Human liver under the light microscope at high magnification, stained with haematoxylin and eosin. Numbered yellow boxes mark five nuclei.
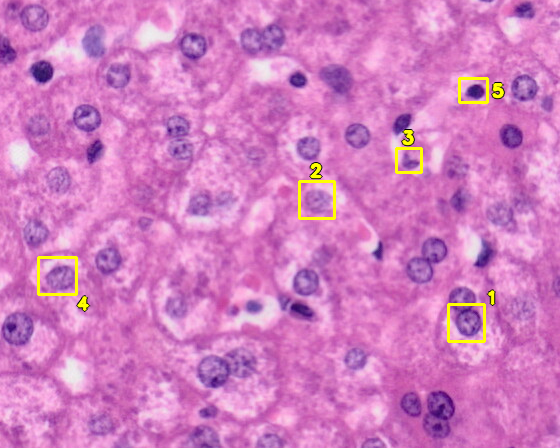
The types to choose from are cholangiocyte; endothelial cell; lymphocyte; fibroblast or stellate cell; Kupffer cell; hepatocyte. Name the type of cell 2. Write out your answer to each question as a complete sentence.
The cell numbered 2 represents a hepatocyte.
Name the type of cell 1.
Cell 1, as marked in the section, is a hepatocyte.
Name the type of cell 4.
The numbered cell 4 is identified here as a hepatocyte.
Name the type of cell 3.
Corresponding to a Kupffer cell is the cell labelled 3.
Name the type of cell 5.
The cell marked with the number 5 is a lymphocyte.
